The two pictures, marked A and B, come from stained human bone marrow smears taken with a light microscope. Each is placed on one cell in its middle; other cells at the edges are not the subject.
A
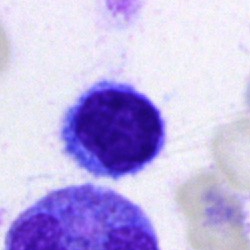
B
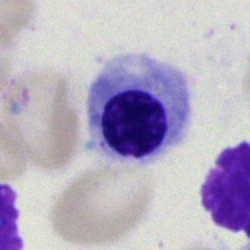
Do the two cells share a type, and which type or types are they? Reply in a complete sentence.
No, crop A carries a lymphocyte at its centre, and crop B carries an erythroblast.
